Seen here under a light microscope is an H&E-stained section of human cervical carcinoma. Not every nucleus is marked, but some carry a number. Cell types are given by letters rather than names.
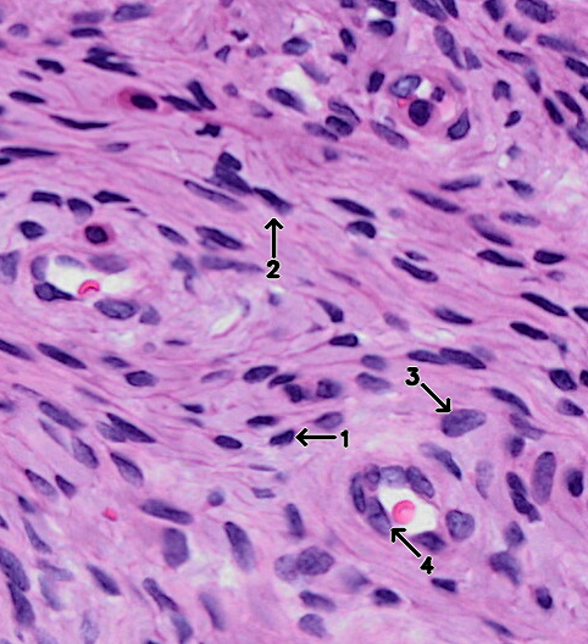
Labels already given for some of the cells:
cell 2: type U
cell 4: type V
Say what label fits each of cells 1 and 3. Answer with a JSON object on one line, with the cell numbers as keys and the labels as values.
{"1": "type U", "3": "type U"}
